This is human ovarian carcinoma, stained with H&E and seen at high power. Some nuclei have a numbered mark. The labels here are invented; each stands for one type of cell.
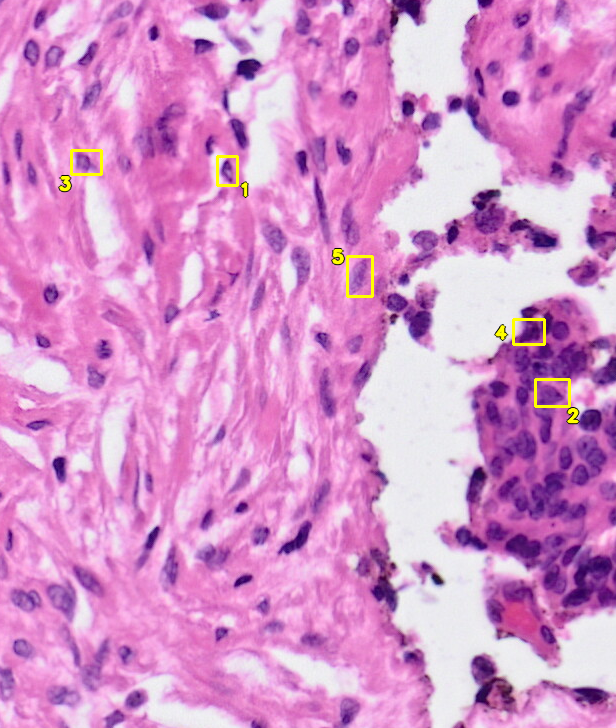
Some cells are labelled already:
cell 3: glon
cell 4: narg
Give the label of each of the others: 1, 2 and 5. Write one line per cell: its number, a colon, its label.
1: glon
2: narg
5: glon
